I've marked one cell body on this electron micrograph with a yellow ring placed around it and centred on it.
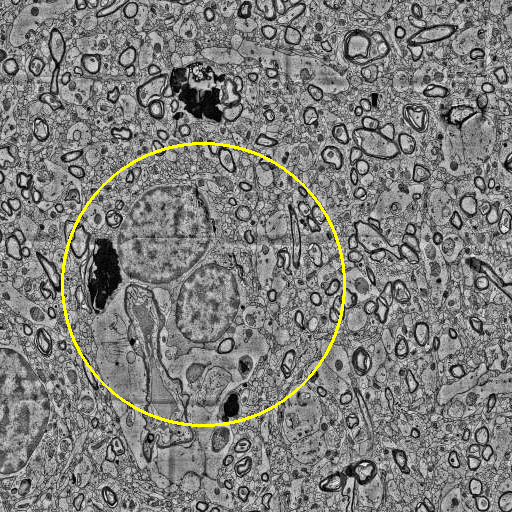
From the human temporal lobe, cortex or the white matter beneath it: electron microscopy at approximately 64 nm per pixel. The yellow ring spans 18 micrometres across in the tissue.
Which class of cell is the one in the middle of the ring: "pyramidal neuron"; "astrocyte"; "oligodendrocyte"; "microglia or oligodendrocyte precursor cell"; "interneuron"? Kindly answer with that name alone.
oligodendrocyte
